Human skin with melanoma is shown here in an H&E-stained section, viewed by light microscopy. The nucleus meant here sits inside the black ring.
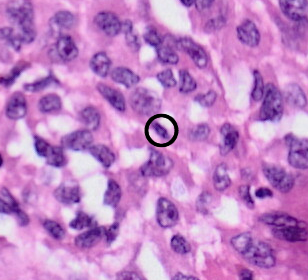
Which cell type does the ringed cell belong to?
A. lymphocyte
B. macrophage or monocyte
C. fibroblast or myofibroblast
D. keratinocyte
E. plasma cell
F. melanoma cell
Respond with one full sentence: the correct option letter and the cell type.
Here the correct option is F, since the ringed cell is a melanoma cell.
